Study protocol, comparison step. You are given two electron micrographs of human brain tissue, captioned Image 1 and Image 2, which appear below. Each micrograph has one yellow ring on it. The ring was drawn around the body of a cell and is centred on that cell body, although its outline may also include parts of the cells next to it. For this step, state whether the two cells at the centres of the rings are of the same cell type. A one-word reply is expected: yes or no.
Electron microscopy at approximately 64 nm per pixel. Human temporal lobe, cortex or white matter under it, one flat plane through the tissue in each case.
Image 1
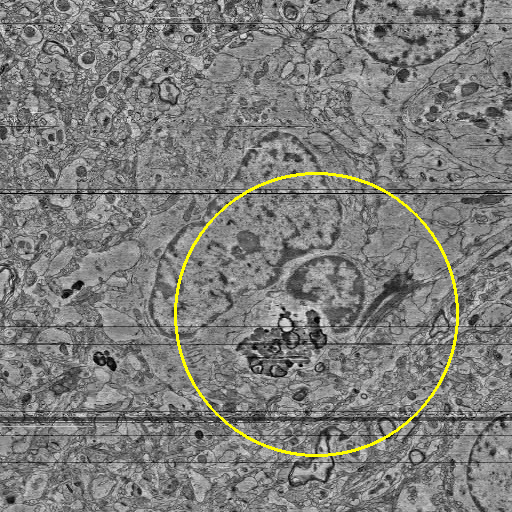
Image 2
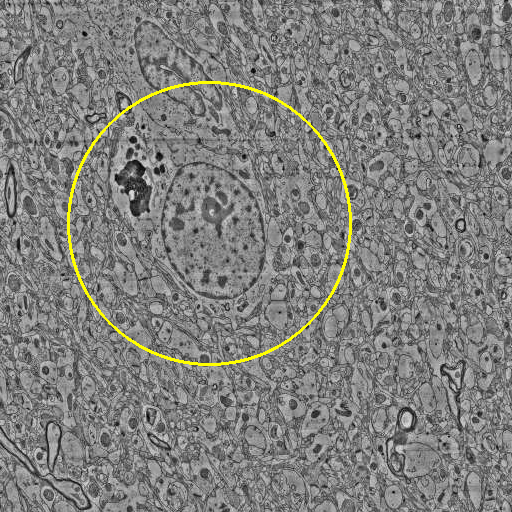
no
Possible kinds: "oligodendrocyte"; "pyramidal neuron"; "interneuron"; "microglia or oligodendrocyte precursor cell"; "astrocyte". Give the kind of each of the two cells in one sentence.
The cell in the second picture is an astrocyte, and that in the first is a microglial cell or oligodendrocyte precursor cell.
